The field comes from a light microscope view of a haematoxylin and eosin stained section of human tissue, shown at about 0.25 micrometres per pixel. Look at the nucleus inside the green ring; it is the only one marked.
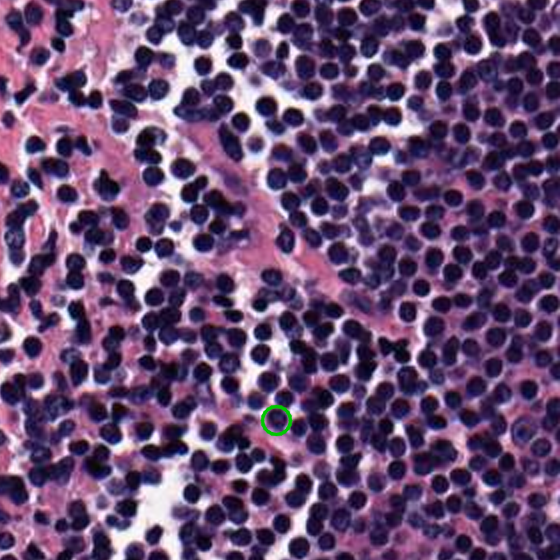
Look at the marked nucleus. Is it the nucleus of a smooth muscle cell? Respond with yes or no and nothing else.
no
